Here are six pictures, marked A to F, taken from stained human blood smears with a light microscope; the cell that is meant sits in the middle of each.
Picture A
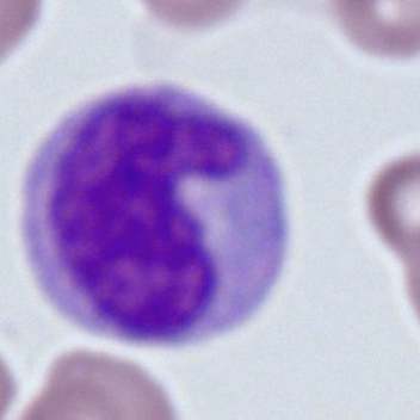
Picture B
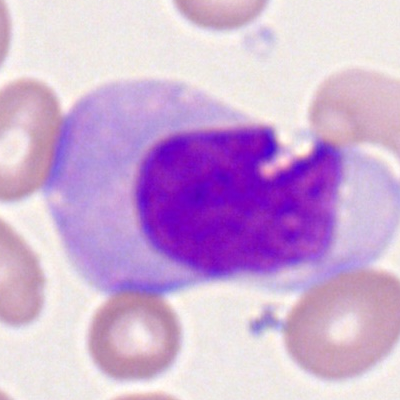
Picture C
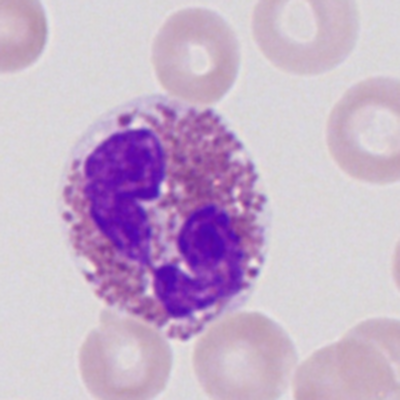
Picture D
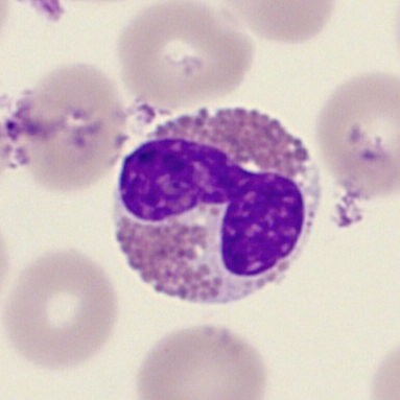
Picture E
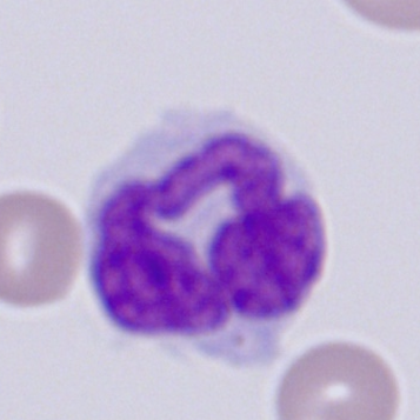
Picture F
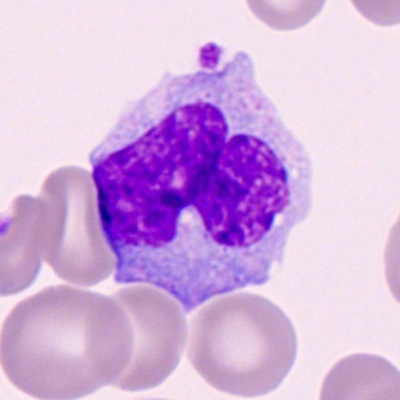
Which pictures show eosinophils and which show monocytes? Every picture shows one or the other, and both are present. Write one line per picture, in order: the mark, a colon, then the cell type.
A: monocyte
B: monocyte
C: eosinophil
D: eosinophil
E: monocyte
F: monocyte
